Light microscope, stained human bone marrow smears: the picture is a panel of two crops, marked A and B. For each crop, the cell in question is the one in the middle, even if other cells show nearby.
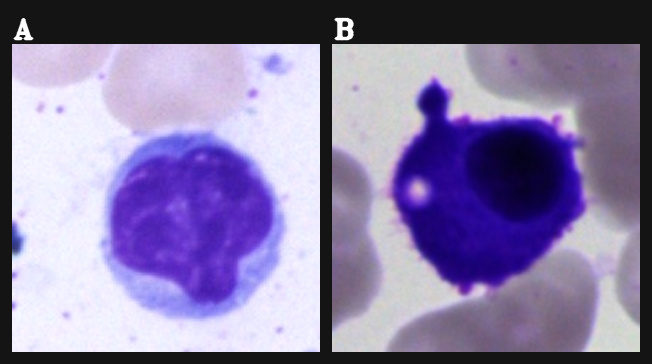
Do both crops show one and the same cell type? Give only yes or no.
no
